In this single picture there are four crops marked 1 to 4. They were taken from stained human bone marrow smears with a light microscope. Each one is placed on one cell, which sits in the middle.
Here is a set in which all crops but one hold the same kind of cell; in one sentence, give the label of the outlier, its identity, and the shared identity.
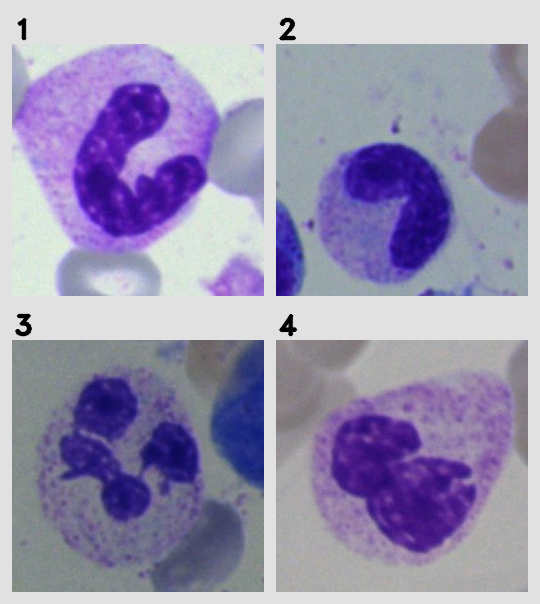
The pattern of segmented neutrophils across the crops is broken only by crop 2, which shows a band neutrophil.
